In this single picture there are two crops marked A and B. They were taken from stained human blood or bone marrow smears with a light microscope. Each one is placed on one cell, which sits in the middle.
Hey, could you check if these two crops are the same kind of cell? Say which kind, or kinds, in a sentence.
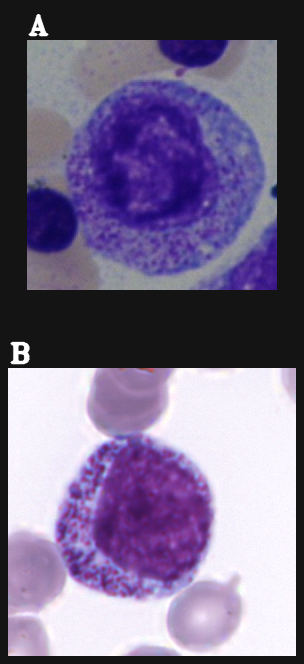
Yes, myelocytes are shown in both crops.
